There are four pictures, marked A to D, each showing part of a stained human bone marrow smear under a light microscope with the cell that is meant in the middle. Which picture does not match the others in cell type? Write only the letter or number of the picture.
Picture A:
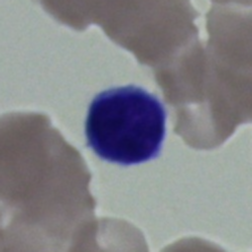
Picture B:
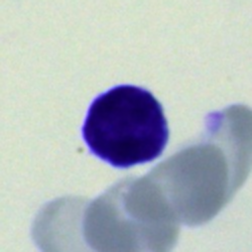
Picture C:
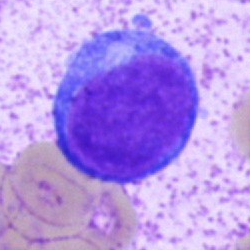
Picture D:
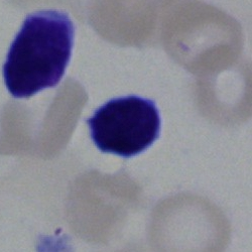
C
